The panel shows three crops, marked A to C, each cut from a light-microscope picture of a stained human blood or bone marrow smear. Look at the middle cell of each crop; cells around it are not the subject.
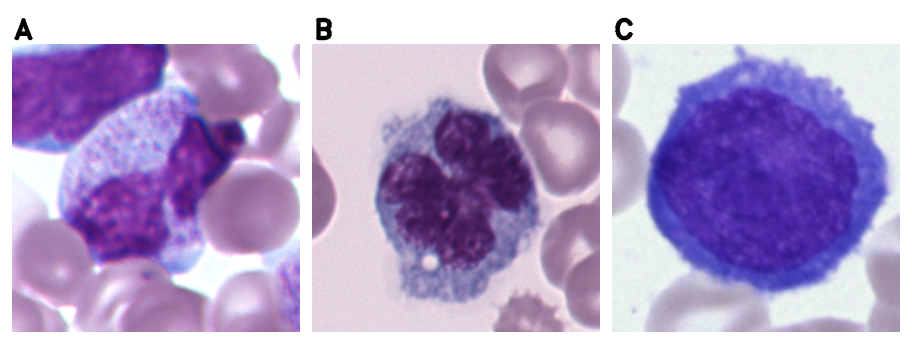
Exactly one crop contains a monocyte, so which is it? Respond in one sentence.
Of the labeled crops, the one with a monocyte is crop B.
